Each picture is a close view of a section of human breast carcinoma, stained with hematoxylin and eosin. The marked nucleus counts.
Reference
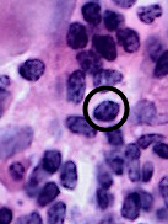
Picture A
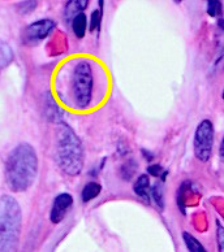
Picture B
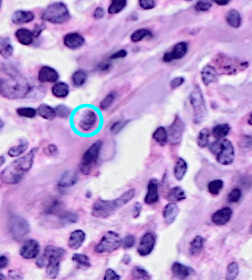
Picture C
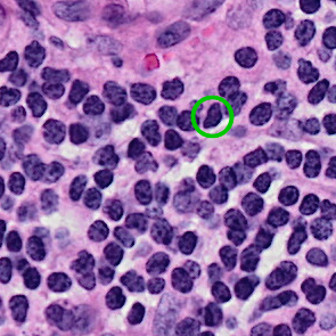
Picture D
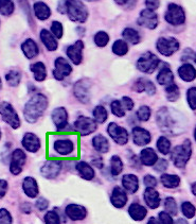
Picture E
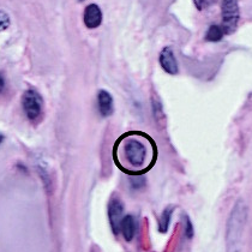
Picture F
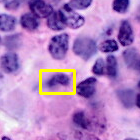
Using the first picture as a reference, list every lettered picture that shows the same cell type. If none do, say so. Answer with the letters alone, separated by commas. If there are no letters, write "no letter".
B, C, D, F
